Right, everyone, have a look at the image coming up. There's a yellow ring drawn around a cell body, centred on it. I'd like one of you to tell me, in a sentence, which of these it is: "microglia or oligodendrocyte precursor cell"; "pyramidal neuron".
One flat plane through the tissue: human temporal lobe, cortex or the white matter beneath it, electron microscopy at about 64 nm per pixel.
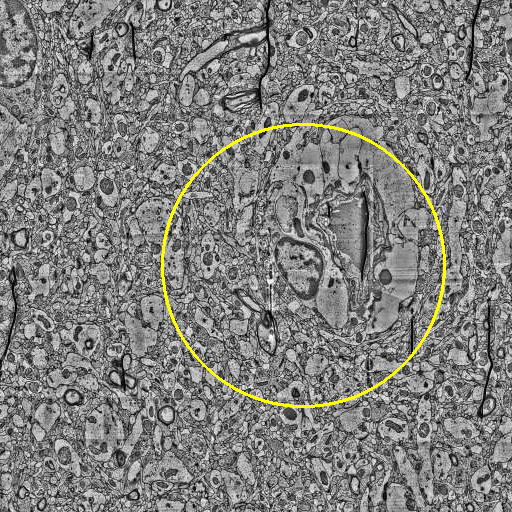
The yellow ring sits on a microglial cell or oligodendrocyte precursor cell.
